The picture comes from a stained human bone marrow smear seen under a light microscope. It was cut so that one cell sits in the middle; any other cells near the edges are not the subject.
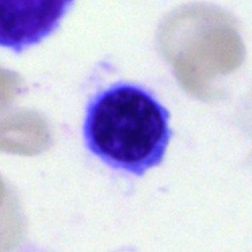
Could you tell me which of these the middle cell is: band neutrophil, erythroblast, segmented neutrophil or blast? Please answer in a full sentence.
The cell at the central position in this crop is an erythroblast.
